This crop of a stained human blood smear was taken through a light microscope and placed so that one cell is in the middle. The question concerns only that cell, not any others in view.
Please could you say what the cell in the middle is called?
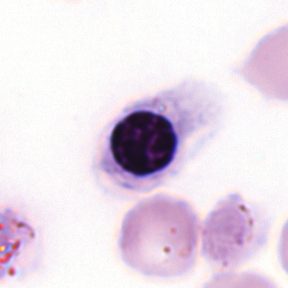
normoblast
